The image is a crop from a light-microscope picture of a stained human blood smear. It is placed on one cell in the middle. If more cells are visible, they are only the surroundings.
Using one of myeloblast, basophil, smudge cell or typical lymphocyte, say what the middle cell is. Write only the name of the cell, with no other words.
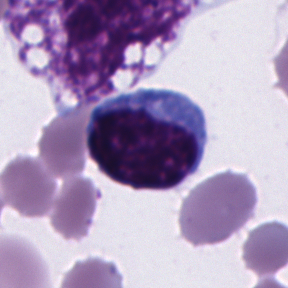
typical lymphocyte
